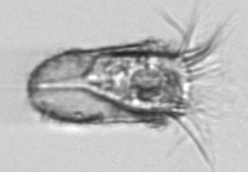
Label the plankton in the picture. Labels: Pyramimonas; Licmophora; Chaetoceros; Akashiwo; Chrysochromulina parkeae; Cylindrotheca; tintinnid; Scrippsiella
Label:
tintinnid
